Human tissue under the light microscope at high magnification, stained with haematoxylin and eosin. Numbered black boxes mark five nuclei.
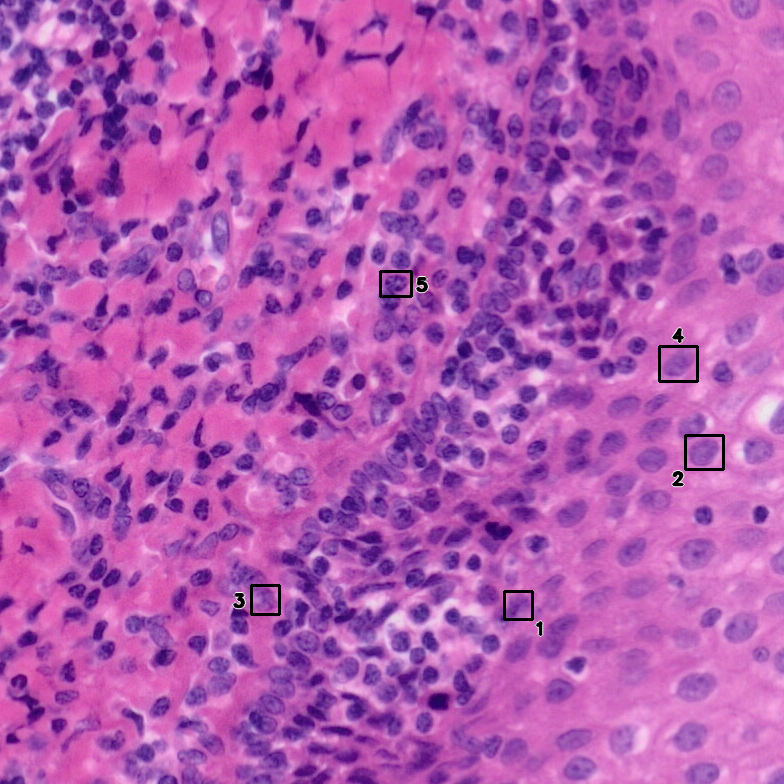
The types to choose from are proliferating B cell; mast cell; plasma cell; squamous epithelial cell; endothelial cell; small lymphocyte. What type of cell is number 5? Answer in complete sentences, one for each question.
The cell assigned the number 5 is a plasma cell.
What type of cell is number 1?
Nucleus 1 in this section belongs to a squamous epithelial cell.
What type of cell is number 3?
Marked with the number 3, this cell is an endothelial cell.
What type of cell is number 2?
Numbered cell 2 is a squamous epithelial cell in this tissue section.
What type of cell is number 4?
Numbered cell 4 is a squamous epithelial cell in this tissue section.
